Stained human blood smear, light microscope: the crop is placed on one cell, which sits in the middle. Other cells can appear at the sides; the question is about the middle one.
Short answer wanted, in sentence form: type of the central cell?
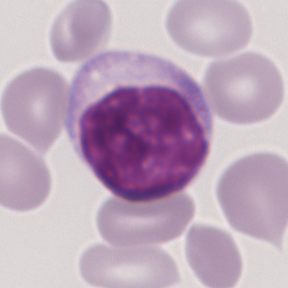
This crop's central cell is a large granular lymphocyte.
